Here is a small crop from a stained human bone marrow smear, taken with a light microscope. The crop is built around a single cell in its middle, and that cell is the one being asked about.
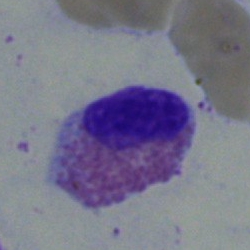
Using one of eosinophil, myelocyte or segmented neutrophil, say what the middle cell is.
eosinophil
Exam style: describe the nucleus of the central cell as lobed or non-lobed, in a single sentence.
Have a look at the nucleus, which is one compact mass, round, oval or kidney-shaped.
